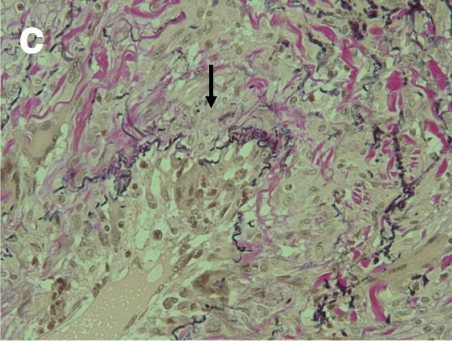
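The black elastic fibers are wavy but broken into short fragments instead of forming a continuous internal elastic lamina. Between them lie many large cells with pale to brownish cytoplasm and rounded nuclei. Red collagen bundles run through the tissue around them.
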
